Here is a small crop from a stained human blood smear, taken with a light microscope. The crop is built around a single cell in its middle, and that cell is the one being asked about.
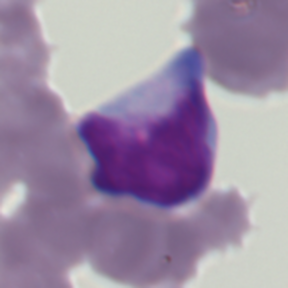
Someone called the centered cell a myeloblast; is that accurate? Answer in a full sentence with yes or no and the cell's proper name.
Yes, the cell in the middle is rightly called a myeloblast.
